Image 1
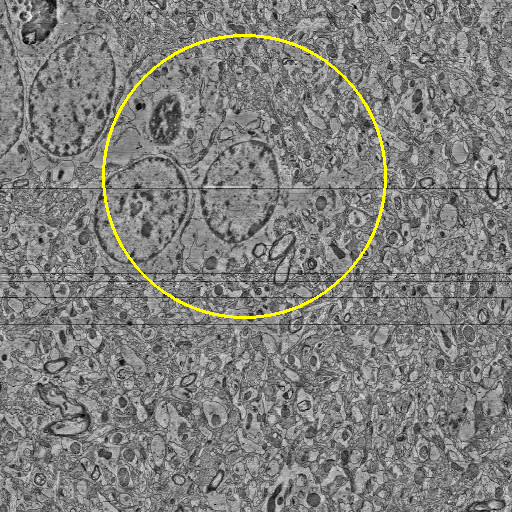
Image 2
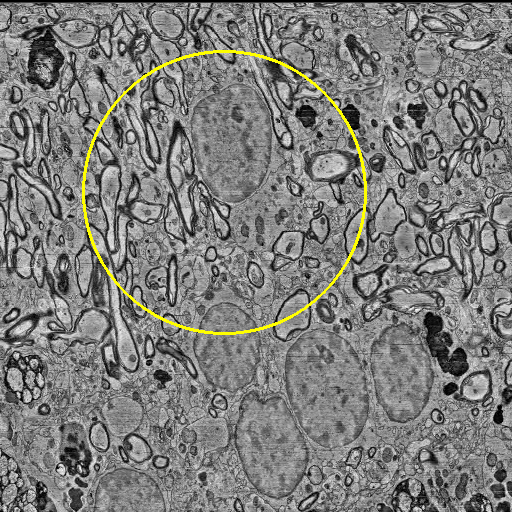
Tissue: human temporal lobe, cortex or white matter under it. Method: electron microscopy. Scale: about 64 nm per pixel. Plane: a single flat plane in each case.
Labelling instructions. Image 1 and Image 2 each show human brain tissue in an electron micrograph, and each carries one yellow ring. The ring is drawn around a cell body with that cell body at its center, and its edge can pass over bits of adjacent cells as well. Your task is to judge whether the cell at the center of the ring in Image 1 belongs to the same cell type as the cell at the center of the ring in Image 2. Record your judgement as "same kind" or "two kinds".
two kinds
